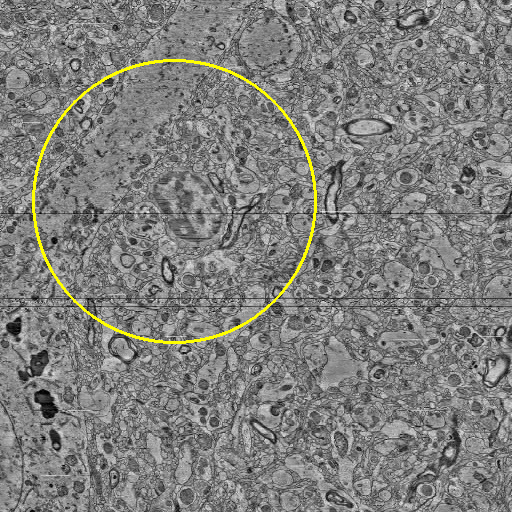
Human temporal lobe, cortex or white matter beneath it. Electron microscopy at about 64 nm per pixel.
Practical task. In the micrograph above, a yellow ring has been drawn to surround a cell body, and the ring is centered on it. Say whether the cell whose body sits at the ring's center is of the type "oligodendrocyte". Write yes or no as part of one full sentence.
Yes, the cell at the center of the ring above is of the type asked about.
